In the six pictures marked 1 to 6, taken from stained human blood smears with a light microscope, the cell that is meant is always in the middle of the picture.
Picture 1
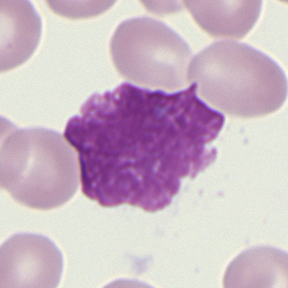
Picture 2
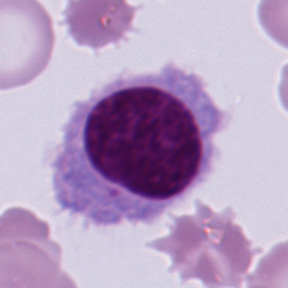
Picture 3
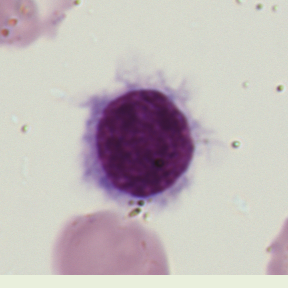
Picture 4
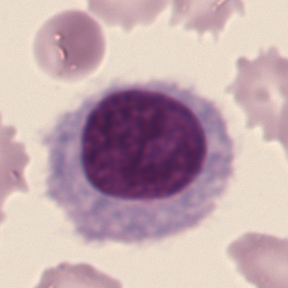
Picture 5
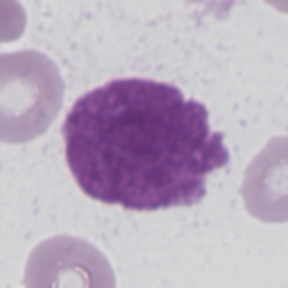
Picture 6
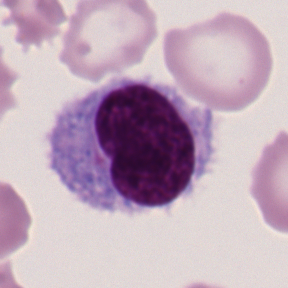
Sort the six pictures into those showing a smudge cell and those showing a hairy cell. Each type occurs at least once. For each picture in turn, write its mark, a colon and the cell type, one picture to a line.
1: smudge cell
2: hairy cell
3: hairy cell
4: hairy cell
5: smudge cell
6: hairy cell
